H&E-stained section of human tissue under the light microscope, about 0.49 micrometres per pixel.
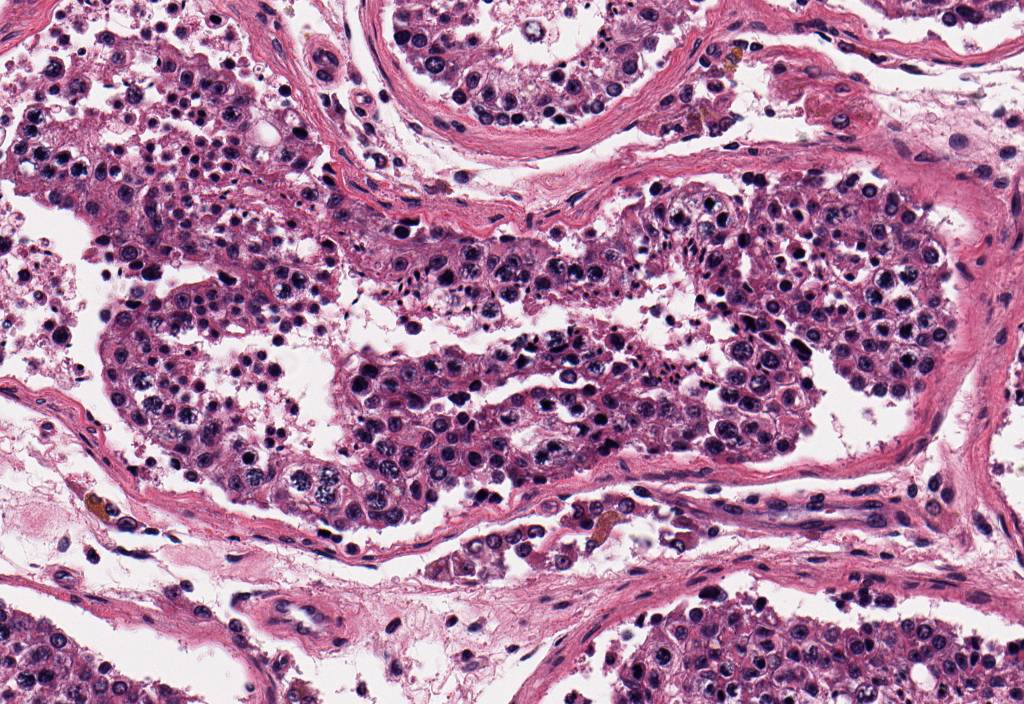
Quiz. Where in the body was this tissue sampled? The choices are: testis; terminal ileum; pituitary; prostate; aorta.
testis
